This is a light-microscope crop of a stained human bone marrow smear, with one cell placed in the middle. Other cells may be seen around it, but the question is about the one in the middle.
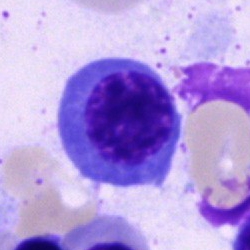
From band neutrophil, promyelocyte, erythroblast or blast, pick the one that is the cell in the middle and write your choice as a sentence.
Framed in the middle of the crop is an erythroblast.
